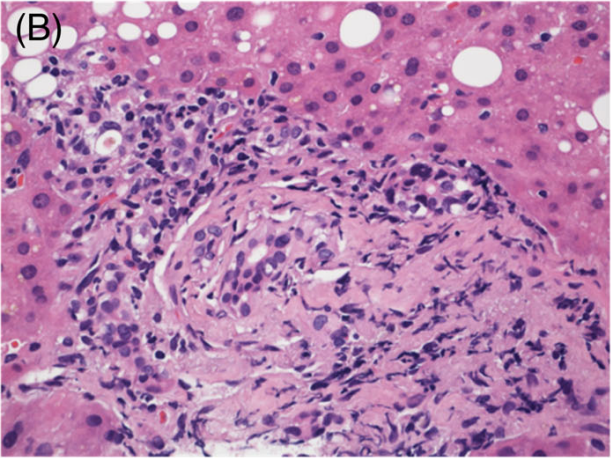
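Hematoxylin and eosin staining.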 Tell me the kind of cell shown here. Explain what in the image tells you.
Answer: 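Lymphocytes. Many small cells with round, dark, scant-cytoplasm nuclei crowd around the duct. They lie within pink fibrous tissue between hepatocytes.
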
